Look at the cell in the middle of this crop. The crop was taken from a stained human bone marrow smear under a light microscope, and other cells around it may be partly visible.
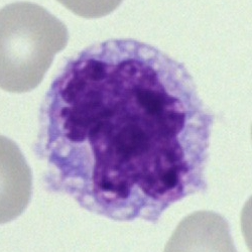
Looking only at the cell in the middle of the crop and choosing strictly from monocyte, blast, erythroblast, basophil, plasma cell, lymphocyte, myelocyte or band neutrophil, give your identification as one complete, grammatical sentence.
The middle cell in this particular crop is a monocyte.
